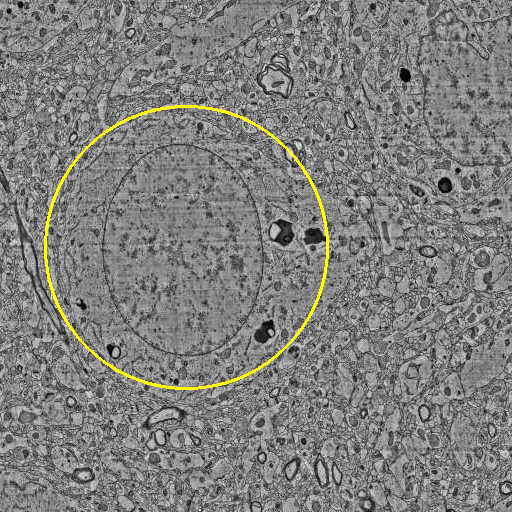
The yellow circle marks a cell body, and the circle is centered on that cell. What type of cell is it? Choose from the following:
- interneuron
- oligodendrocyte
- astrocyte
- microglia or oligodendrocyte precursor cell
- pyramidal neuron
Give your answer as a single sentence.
This cell body belongs to a pyramidal neuron.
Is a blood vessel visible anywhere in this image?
No, the image shows no blood vessel.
